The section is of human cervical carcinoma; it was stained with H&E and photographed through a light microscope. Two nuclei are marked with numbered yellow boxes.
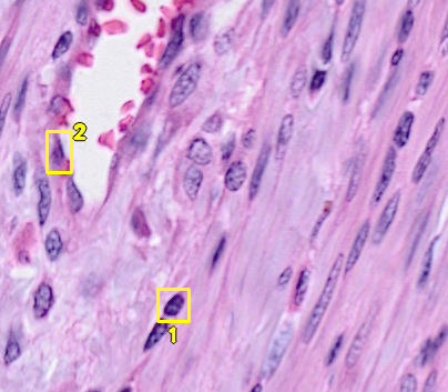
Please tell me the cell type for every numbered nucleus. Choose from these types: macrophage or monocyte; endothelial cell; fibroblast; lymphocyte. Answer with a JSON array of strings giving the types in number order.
["lymphocyte", "endothelial cell"]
